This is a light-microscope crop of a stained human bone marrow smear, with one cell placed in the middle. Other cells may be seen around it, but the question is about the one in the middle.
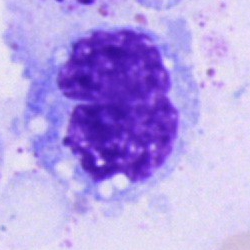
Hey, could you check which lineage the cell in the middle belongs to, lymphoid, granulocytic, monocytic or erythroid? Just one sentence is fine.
The cell at the center of this crop is of monocytic lineage.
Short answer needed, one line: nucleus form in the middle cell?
The key feature is a nucleus with multiple lobes.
